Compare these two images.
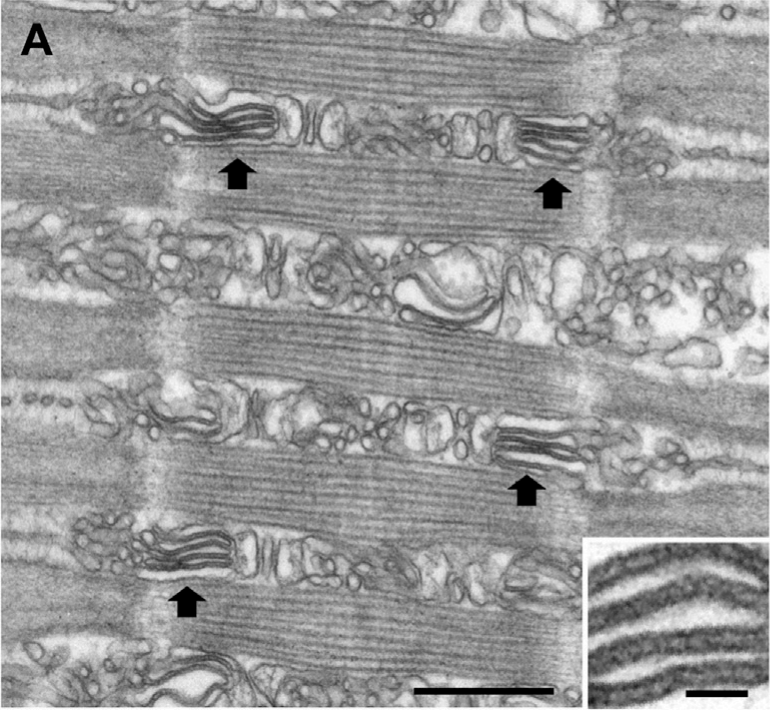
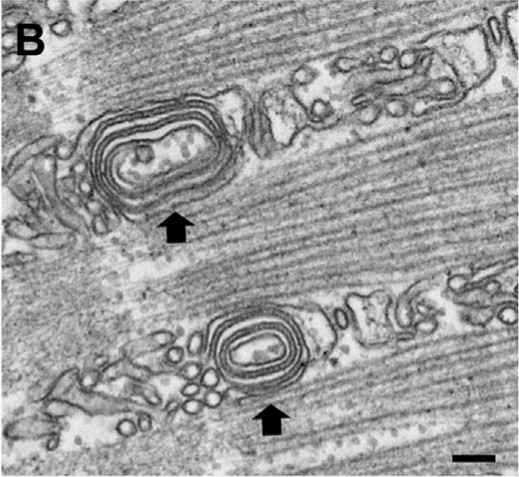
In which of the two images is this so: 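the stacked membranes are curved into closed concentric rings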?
The second image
